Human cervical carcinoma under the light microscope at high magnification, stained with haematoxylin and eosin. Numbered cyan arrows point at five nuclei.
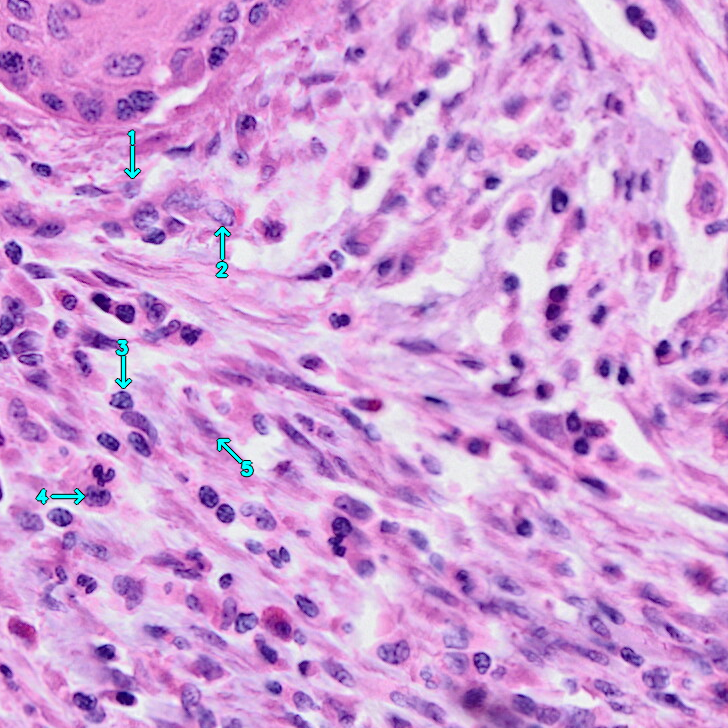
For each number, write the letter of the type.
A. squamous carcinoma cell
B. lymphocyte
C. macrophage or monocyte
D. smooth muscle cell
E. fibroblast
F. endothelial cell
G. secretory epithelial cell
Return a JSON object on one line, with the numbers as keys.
{"1": "E", "2": "F", "3": "B", "4": "C", "5": "E"}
